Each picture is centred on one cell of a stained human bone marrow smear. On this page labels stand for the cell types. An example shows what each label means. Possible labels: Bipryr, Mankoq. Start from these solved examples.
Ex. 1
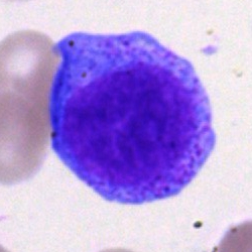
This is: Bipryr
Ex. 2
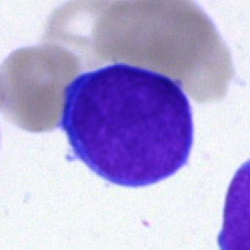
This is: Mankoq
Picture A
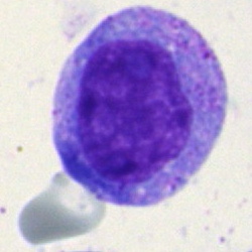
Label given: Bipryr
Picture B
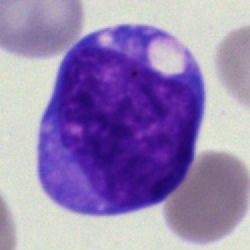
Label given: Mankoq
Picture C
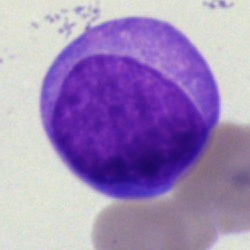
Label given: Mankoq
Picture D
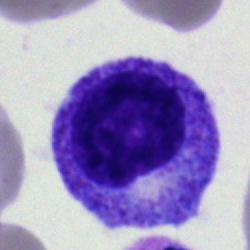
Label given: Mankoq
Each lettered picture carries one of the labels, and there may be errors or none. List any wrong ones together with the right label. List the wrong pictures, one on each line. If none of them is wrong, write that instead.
D: Bipryr, not Mankoq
